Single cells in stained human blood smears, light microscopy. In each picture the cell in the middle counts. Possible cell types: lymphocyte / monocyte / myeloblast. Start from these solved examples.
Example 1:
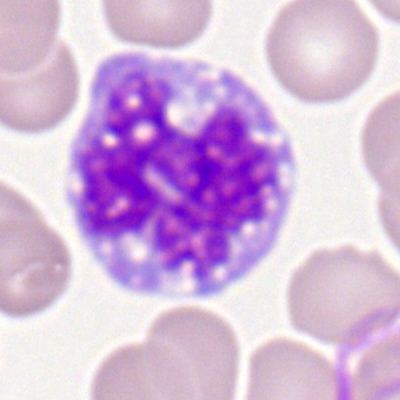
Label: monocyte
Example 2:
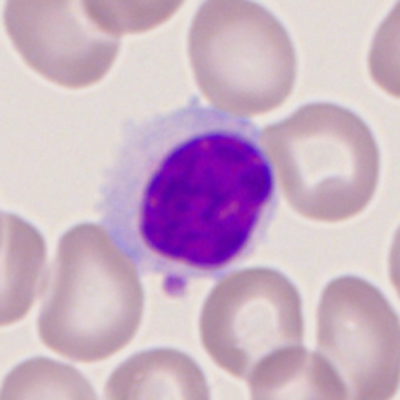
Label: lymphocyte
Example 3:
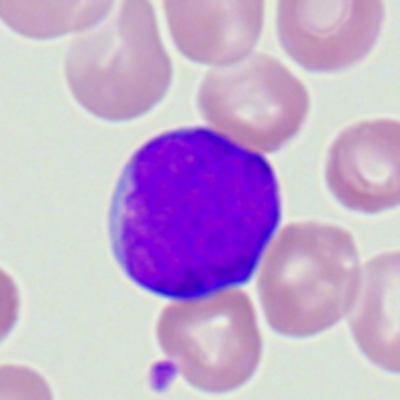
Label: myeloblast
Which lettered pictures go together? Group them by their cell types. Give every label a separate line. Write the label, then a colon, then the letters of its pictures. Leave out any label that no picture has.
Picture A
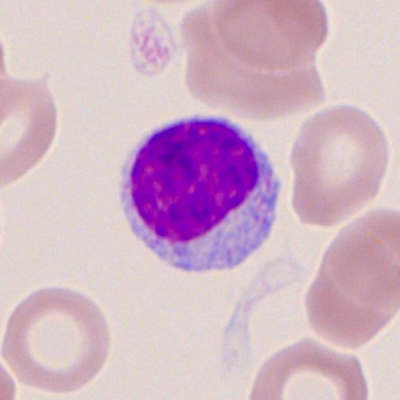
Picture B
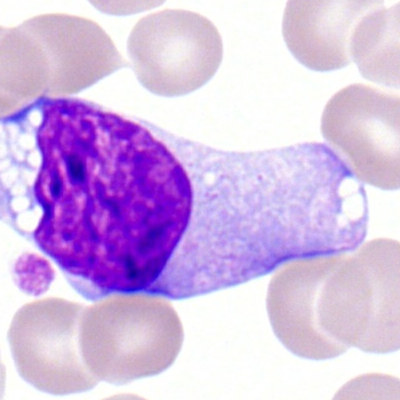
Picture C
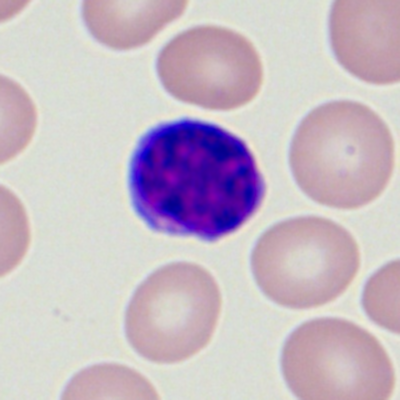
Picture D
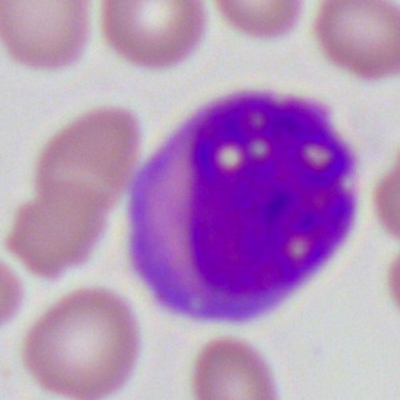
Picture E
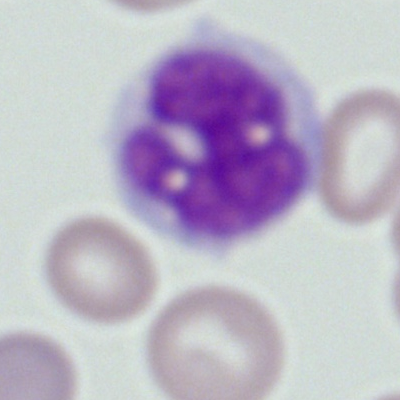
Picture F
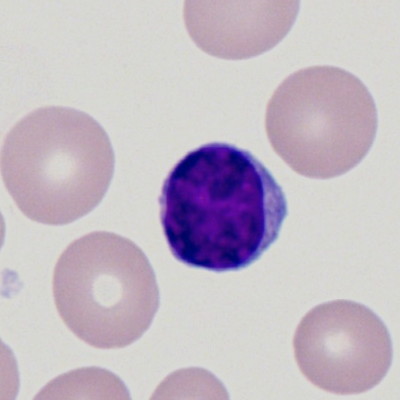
lymphocyte: A, C, F
monocyte: B, E
myeloblast: D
